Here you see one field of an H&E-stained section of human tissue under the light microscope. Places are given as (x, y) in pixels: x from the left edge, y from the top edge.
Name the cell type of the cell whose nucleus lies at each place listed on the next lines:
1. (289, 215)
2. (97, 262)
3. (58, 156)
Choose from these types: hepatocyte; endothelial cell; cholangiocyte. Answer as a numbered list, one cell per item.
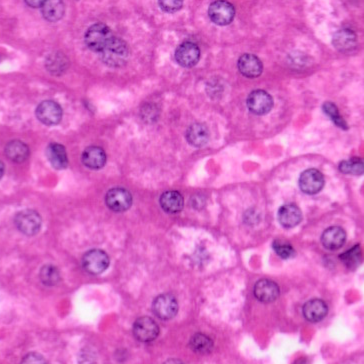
1. hepatocyte
2. hepatocyte
3. endothelial cell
